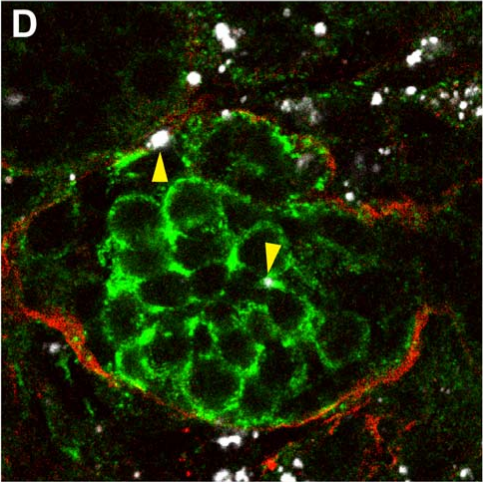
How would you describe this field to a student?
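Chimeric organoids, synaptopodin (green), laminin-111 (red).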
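A nascent glomerulus made of podocytes. A rounded cluster of closely packed cells fills the centre of the field, each cell outlined by green signal at its borders, giving a honeycomb-like pattern with dark unstained cell interiors. The cluster is enclosed by a thin red boundary line that is thicker and more intense on its lower and left sides. Scattered bright white dots lie in the surrounding tissue, and two sit at the edge and within the cluster. Faint green signal is also present in the surrounding tissue.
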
